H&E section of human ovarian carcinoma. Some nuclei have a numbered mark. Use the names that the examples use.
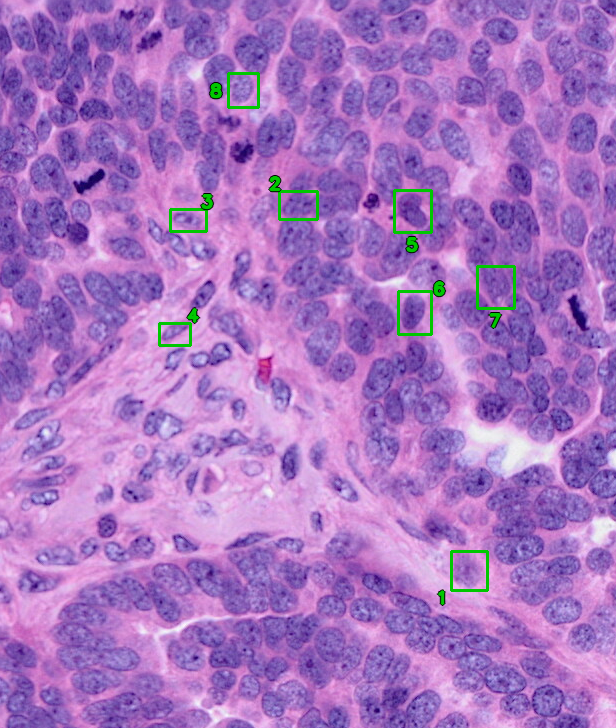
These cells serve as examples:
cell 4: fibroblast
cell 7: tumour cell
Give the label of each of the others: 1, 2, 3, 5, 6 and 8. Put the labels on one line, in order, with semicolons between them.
fibroblast; tumour cell; fibroblast; tumour cell; tumour cell; tumour cell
